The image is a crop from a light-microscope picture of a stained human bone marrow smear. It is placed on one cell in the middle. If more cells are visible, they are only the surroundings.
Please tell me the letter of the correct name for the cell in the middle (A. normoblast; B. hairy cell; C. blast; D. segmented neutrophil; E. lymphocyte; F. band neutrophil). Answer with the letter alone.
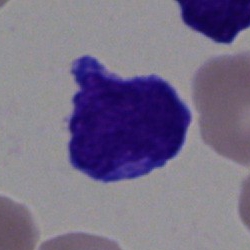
C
